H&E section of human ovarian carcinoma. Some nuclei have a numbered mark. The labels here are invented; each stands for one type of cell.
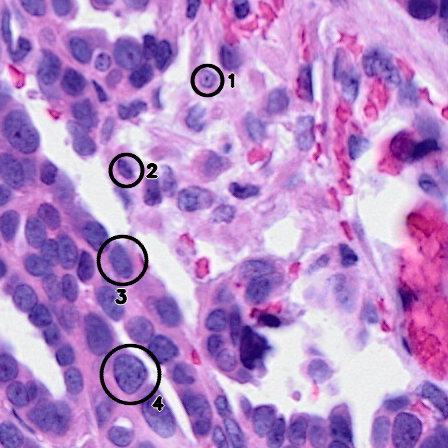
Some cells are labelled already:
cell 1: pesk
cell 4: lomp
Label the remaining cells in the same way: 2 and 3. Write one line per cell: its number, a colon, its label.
2: pesk
3: lomp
